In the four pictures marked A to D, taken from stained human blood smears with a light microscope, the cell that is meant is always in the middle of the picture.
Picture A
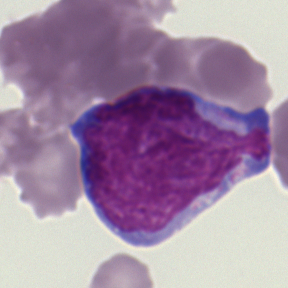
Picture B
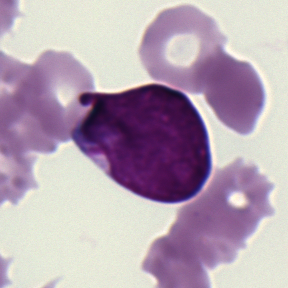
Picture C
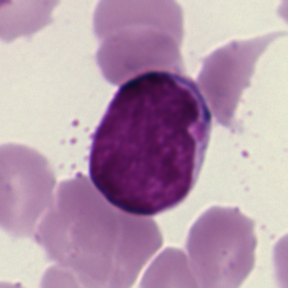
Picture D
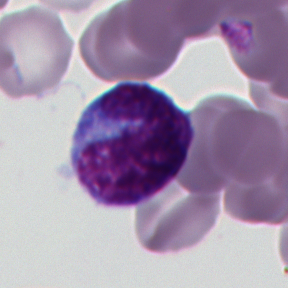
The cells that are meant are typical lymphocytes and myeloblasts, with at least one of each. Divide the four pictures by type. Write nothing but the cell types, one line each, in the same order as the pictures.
myeloblast
myeloblast
myeloblast
typical lymphocyte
